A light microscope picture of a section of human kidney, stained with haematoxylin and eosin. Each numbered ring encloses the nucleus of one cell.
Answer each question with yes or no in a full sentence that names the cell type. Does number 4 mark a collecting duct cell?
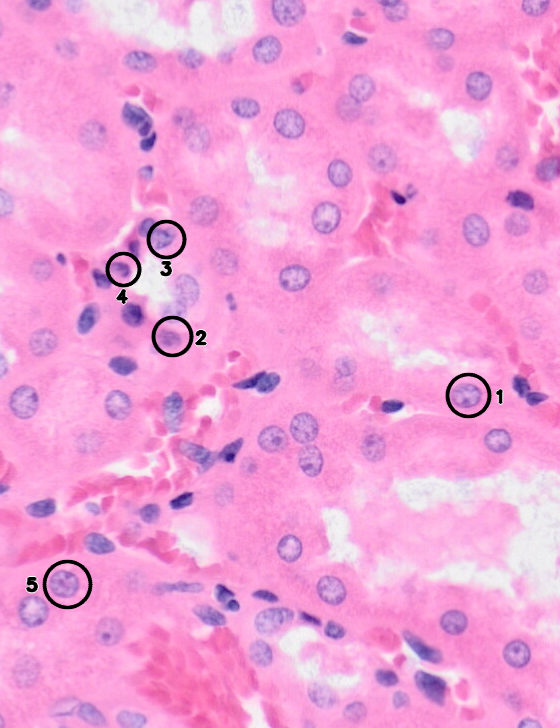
Yes, it is a collecting duct cell that carries the number 4.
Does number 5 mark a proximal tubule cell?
Yes, kindly take note: the cell numbered 5 is a proximal tubule cell.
